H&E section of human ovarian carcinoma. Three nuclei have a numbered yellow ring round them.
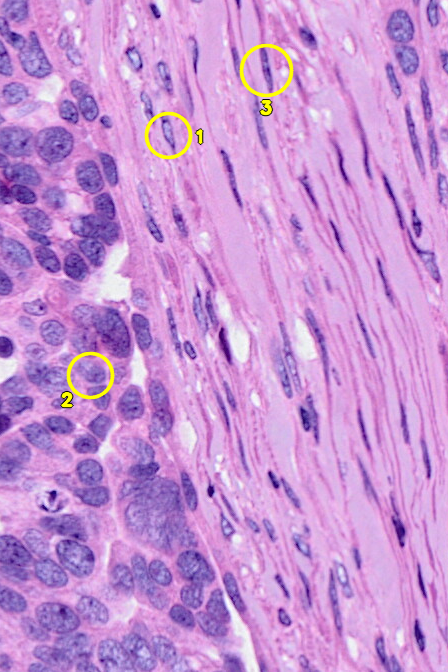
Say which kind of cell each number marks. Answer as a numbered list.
1. fibroblast
2. carcinoma cell
3. fibroblast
